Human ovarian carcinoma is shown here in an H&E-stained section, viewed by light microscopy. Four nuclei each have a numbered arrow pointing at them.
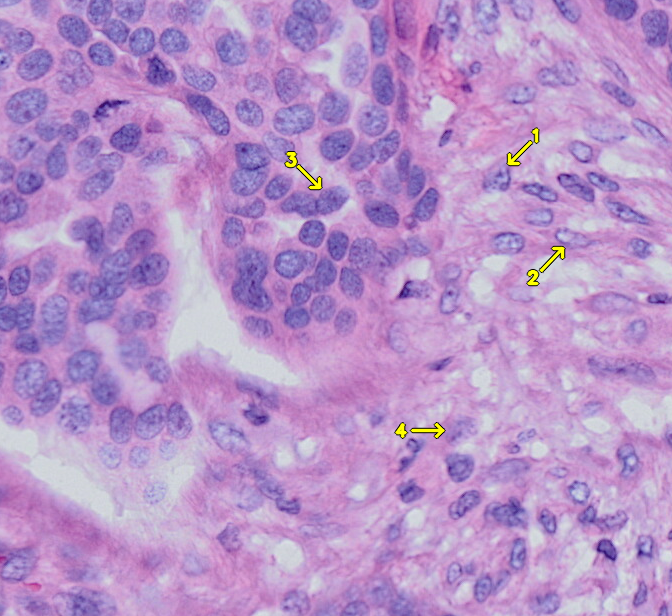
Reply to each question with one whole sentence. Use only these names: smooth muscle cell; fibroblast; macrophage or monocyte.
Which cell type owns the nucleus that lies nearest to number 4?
Number 4 lies closest to the nucleus of a macrophage or monocyte.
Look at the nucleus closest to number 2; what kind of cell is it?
The cell nearest to number 2 is a fibroblast.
